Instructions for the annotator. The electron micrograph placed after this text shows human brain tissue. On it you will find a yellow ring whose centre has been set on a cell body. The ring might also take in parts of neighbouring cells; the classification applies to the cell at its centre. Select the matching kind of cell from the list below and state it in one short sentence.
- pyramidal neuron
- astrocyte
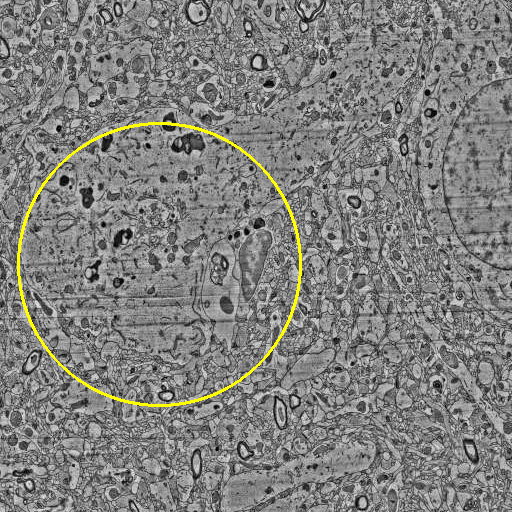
The ring is drawn on the cell body of a pyramidal neuron.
